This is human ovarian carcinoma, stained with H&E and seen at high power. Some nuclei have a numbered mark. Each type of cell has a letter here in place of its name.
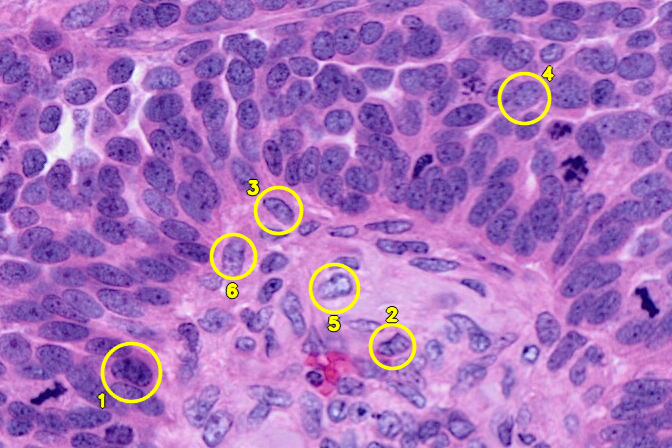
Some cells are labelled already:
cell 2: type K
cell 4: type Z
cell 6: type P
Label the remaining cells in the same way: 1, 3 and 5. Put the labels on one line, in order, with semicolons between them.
type Z; type P; type P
